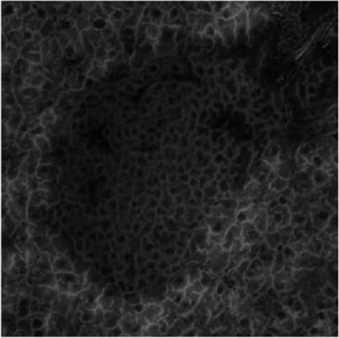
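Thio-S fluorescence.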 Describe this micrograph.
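A pancreatic islet is seen as a rounded, darker region of small, tightly packed cells whose faint outlines form a fine mesh. Around it lies exocrine tissue in which cell borders appear brighter, giving a coarser polygonal pattern. No bright deposits are seen within the islet; the signal is weak and even throughout, with only the cell outlines faintly visible.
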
